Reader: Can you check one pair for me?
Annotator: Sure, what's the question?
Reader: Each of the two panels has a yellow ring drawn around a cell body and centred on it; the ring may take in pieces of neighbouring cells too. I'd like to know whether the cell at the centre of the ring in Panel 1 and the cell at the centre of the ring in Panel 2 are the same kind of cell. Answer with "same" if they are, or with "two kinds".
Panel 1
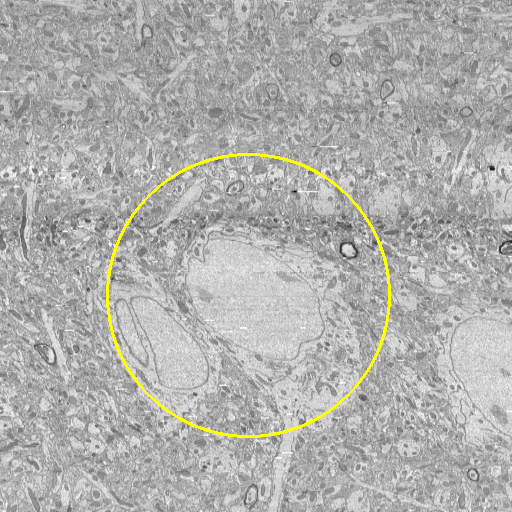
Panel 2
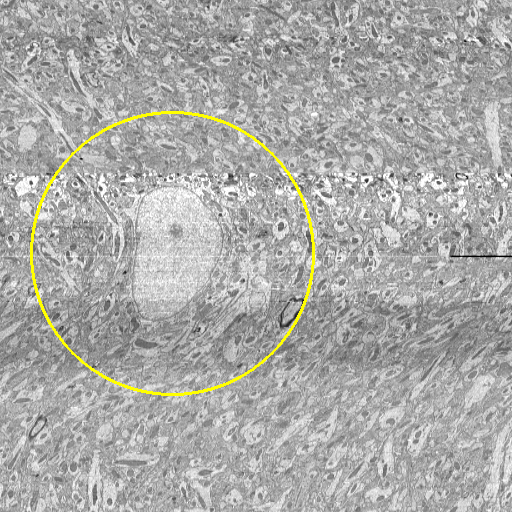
two kinds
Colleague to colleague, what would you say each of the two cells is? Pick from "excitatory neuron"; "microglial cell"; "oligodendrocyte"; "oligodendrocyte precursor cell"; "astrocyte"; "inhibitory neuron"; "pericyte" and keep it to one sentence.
The cell in the first picture is an excitatory neuron; the second picture's cell is an astrocyte.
